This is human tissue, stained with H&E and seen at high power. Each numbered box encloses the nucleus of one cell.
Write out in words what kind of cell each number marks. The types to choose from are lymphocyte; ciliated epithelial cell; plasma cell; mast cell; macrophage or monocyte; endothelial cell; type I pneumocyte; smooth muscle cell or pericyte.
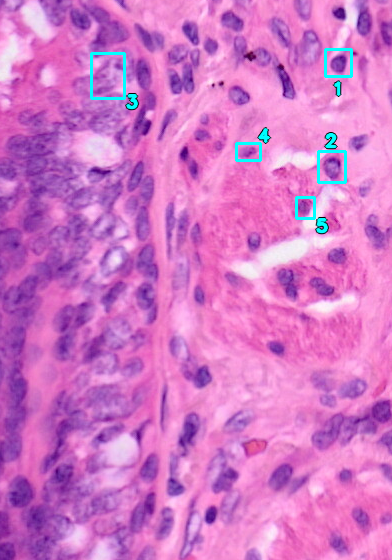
Cell 1 is a lymphocyte. Cell 2 is a mast cell. Cell 3 is a ciliated epithelial cell. Cells 4 and 5 are smooth muscle cells or pericytes.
